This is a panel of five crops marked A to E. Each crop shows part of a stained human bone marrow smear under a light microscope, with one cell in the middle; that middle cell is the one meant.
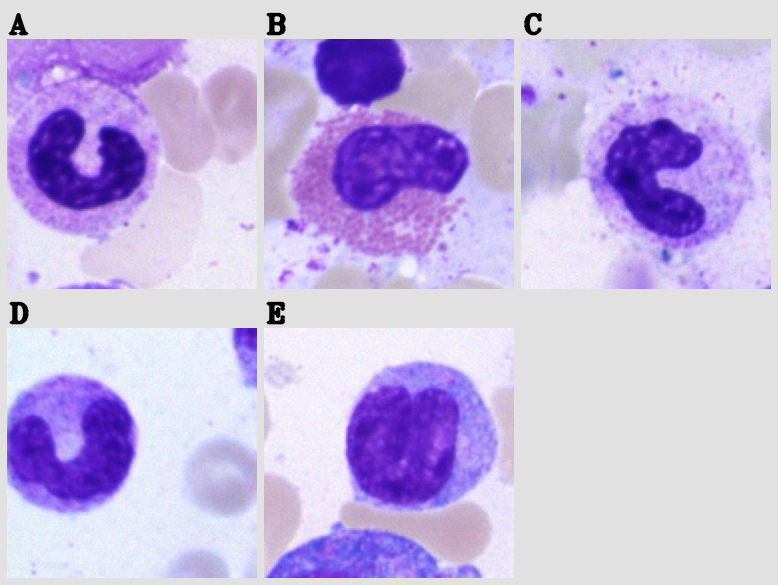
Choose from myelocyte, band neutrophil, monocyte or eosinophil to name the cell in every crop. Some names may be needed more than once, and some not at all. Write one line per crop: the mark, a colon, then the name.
A: band neutrophil
B: eosinophil
C: band neutrophil
D: band neutrophil
E: monocyte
